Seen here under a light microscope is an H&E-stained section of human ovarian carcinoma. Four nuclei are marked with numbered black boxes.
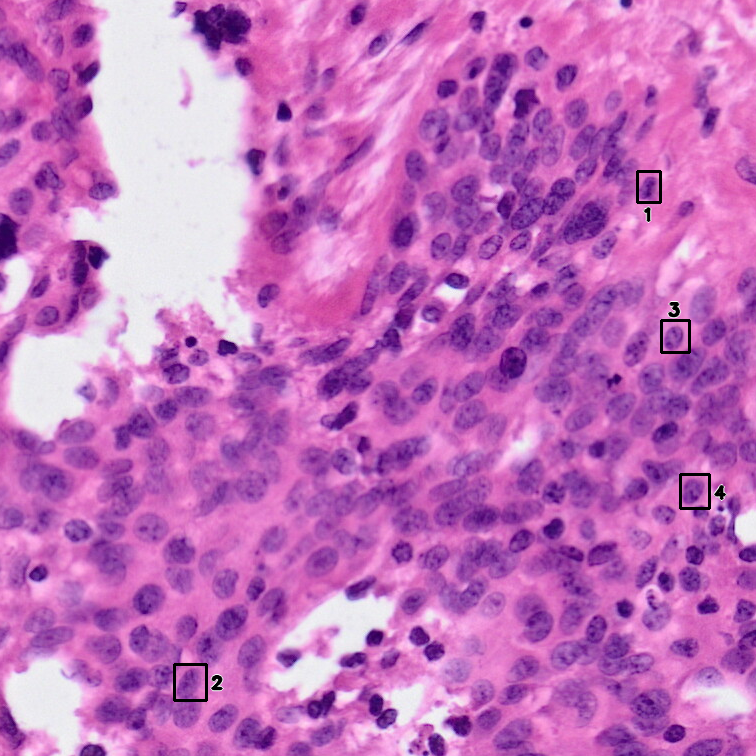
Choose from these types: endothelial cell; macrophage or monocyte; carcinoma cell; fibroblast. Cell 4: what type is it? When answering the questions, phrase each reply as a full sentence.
In this section, number 4 marks a macrophage or monocyte.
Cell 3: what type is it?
The cell referred to as 3 is a macrophage or monocyte.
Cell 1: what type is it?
Regarding cell 1, this one is a macrophage or monocyte.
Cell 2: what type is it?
Numbered cell 2 is a carcinoma cell in this tissue section.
